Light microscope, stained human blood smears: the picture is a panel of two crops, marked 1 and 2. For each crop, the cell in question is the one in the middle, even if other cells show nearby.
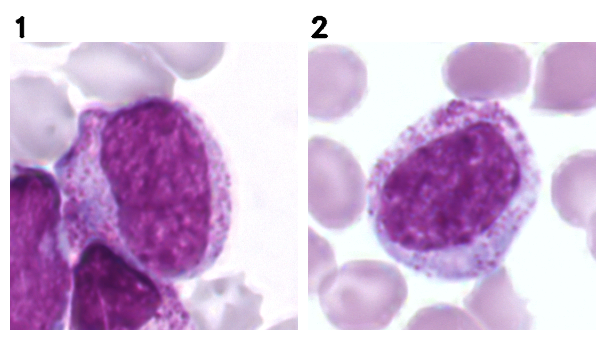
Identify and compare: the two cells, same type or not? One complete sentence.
Yes, they do, both crops show myelocytes.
